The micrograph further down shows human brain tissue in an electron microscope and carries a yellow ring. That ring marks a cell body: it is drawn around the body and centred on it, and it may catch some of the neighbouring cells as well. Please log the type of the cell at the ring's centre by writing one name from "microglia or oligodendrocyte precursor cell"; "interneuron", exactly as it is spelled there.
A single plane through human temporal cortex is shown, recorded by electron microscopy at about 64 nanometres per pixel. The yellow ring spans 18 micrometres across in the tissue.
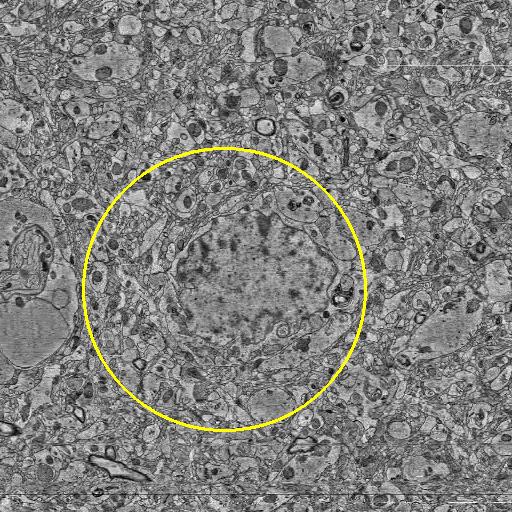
interneuron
